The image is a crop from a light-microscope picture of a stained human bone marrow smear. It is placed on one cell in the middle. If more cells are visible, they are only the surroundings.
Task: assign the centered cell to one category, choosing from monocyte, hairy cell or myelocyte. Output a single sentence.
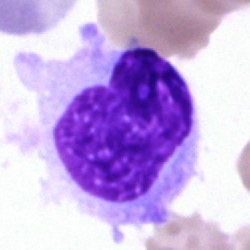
The cell of interest, located centrally, is a hairy cell.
